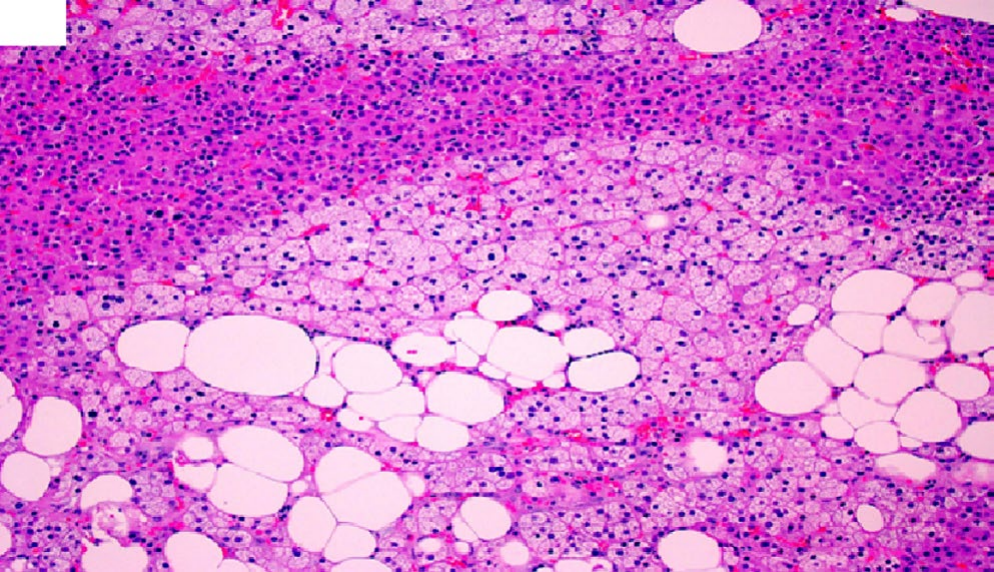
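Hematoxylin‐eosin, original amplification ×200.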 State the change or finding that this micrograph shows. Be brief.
Fatty infiltrate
